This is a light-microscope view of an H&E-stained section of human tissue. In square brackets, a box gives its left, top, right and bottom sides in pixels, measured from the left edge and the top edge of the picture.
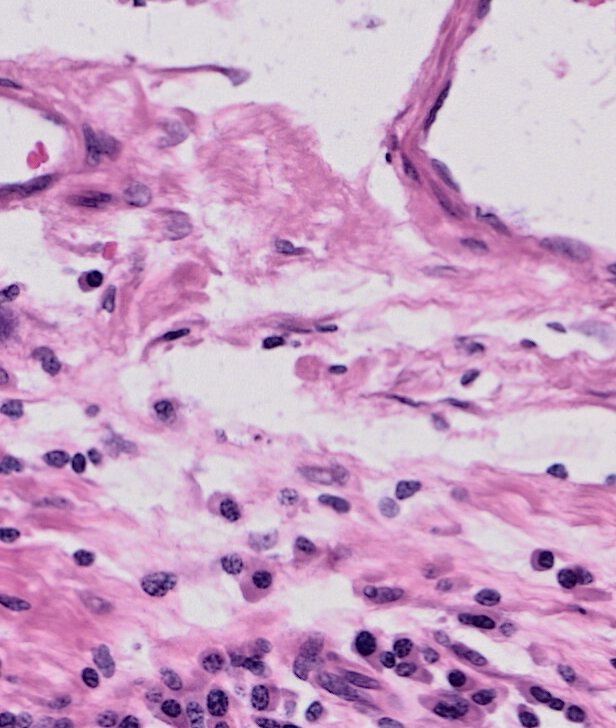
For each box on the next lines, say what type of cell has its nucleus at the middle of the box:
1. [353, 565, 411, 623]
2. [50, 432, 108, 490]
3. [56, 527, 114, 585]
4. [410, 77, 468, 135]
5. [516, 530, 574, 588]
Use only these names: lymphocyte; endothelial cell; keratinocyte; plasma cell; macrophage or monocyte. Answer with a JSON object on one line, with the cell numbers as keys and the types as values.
{"1": "macrophage or monocyte", "2": "lymphocyte", "3": "lymphocyte", "4": "endothelial cell", "5": "plasma cell"}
